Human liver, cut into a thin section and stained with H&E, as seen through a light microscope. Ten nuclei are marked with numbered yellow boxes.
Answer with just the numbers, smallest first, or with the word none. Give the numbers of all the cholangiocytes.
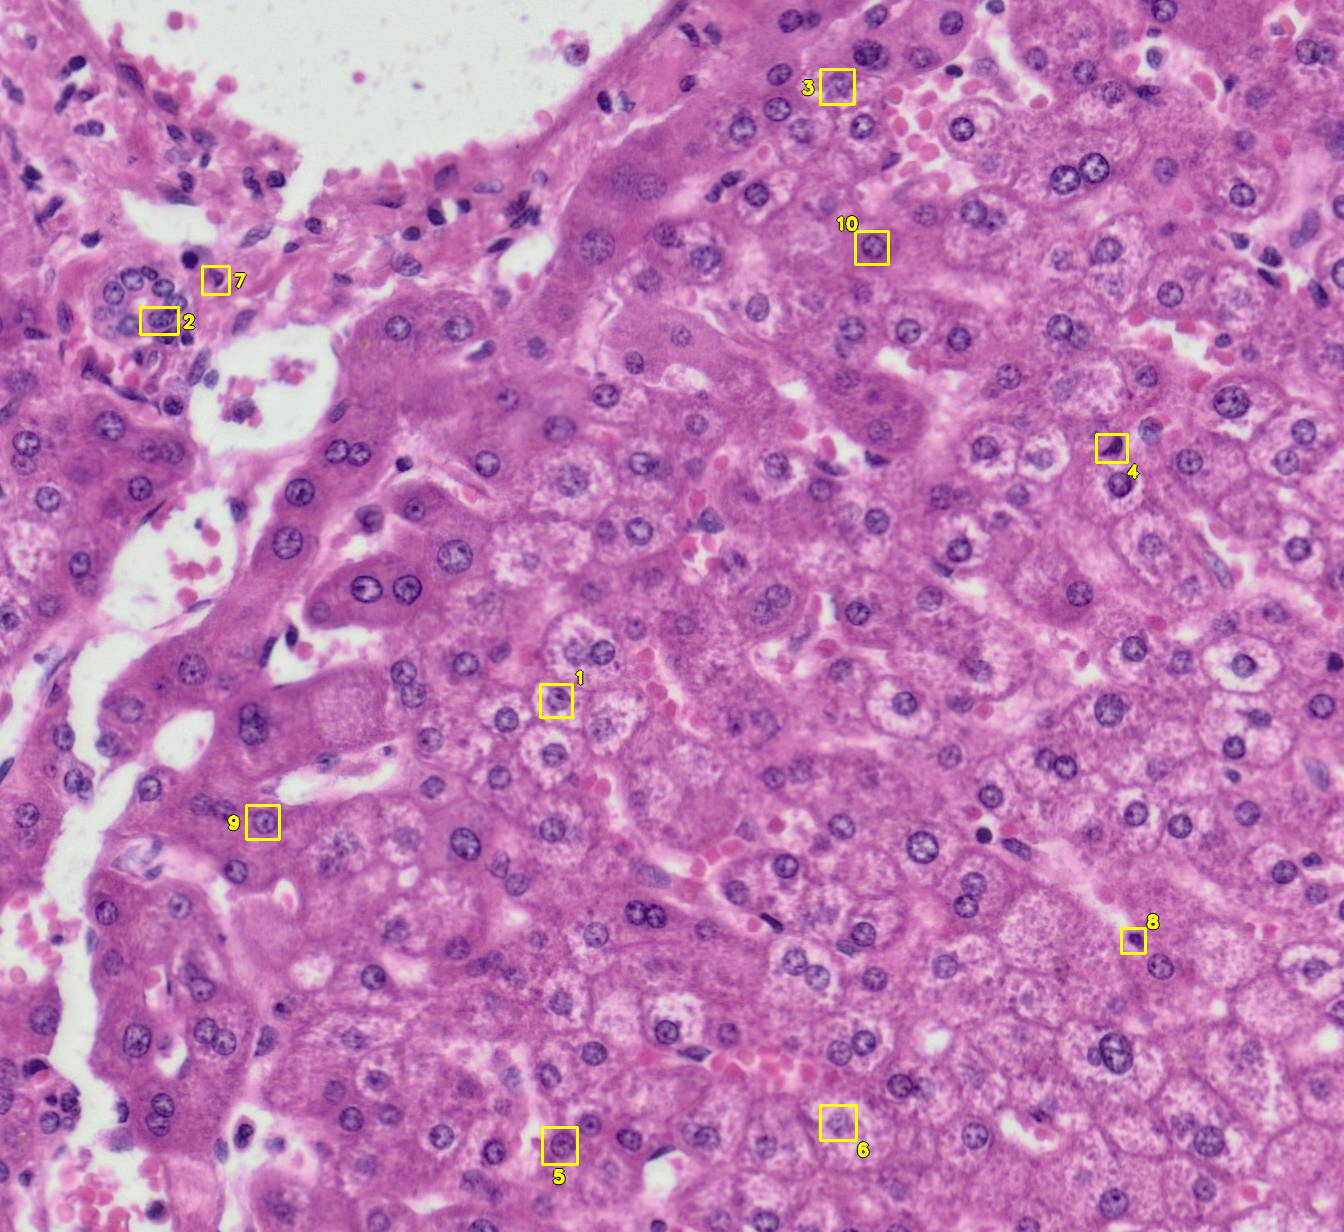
2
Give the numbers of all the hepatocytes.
1, 3, 5, 6, 9, 10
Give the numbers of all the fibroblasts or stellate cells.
4, 7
